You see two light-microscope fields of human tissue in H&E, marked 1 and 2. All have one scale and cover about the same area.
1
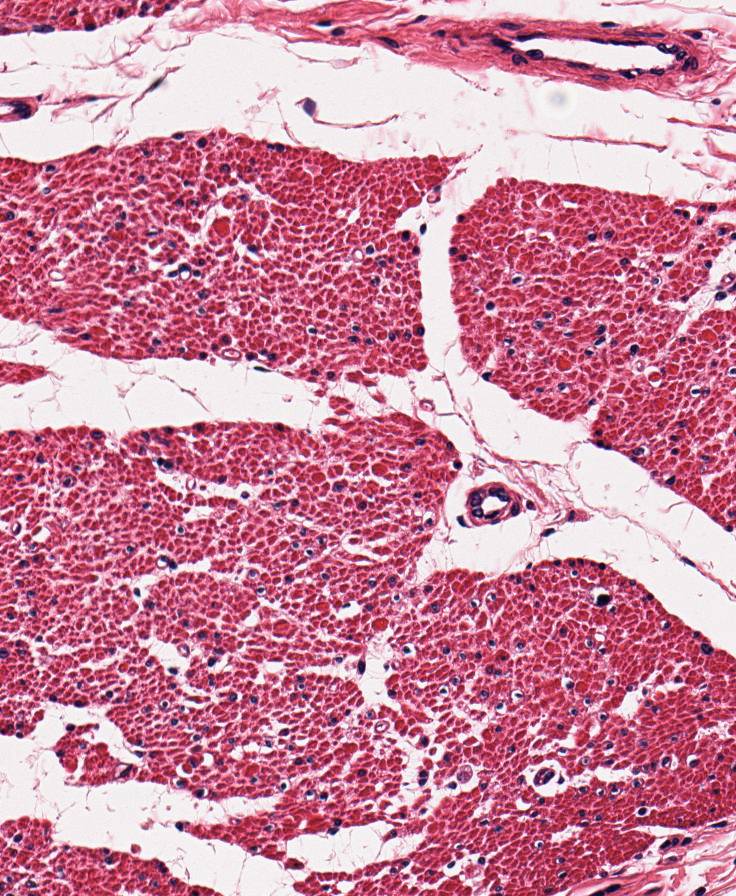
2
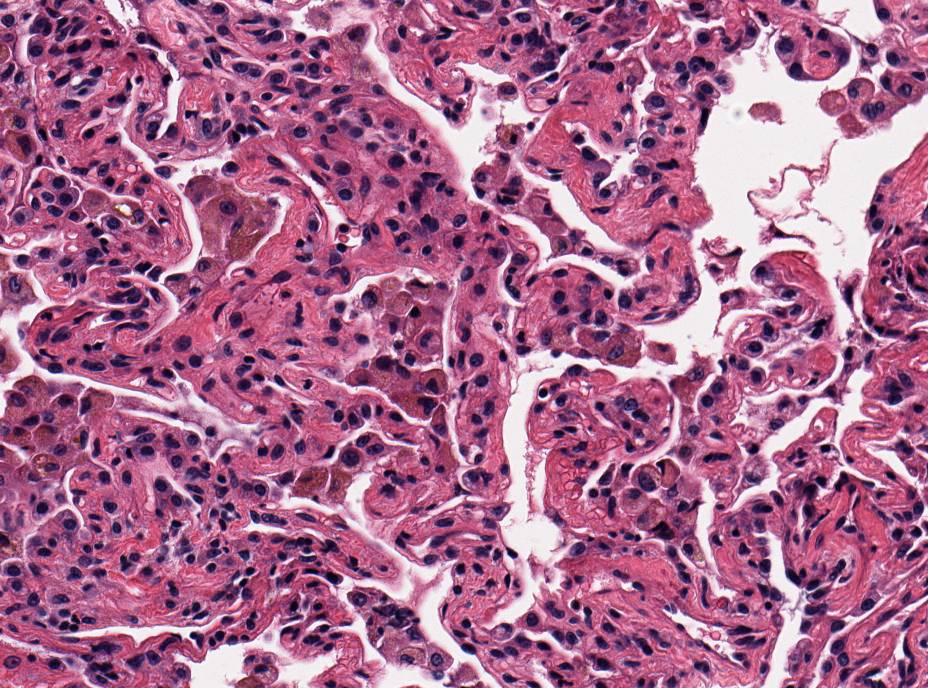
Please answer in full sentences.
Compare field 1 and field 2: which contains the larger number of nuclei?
There are more nuclei in field 2.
